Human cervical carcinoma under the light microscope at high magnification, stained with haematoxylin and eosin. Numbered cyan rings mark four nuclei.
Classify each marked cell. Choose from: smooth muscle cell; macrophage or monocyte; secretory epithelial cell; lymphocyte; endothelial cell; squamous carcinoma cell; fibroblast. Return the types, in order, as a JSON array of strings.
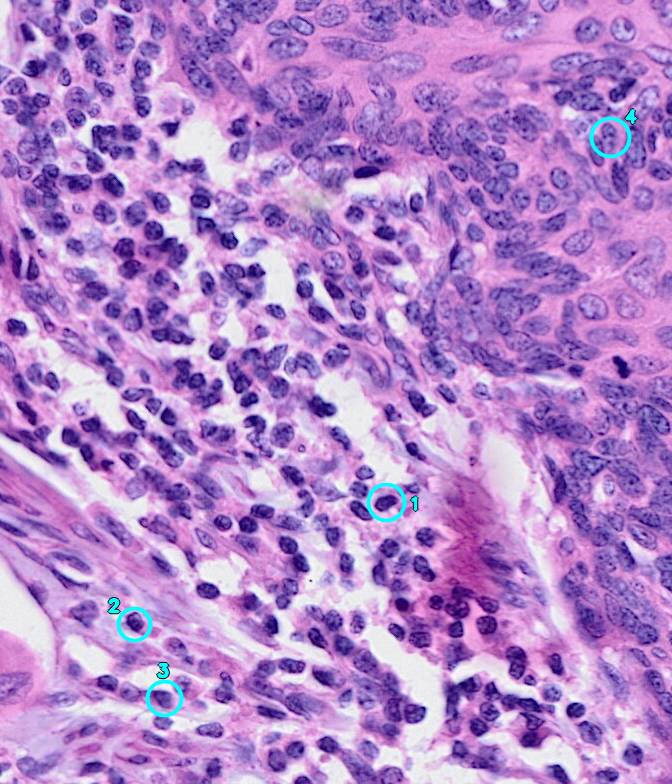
["lymphocyte", "lymphocyte", "lymphocyte", "squamous carcinoma cell"]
